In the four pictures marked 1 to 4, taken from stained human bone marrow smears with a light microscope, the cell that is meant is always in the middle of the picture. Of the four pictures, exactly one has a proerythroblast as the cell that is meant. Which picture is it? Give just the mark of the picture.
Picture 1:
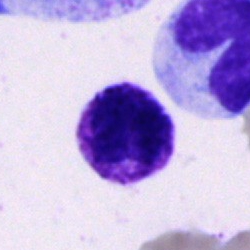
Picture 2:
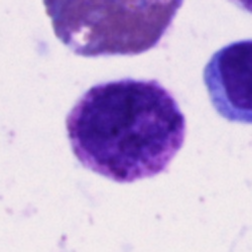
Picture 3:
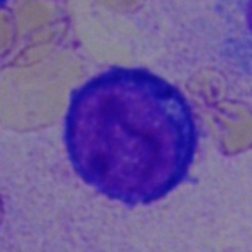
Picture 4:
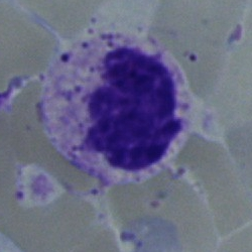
3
